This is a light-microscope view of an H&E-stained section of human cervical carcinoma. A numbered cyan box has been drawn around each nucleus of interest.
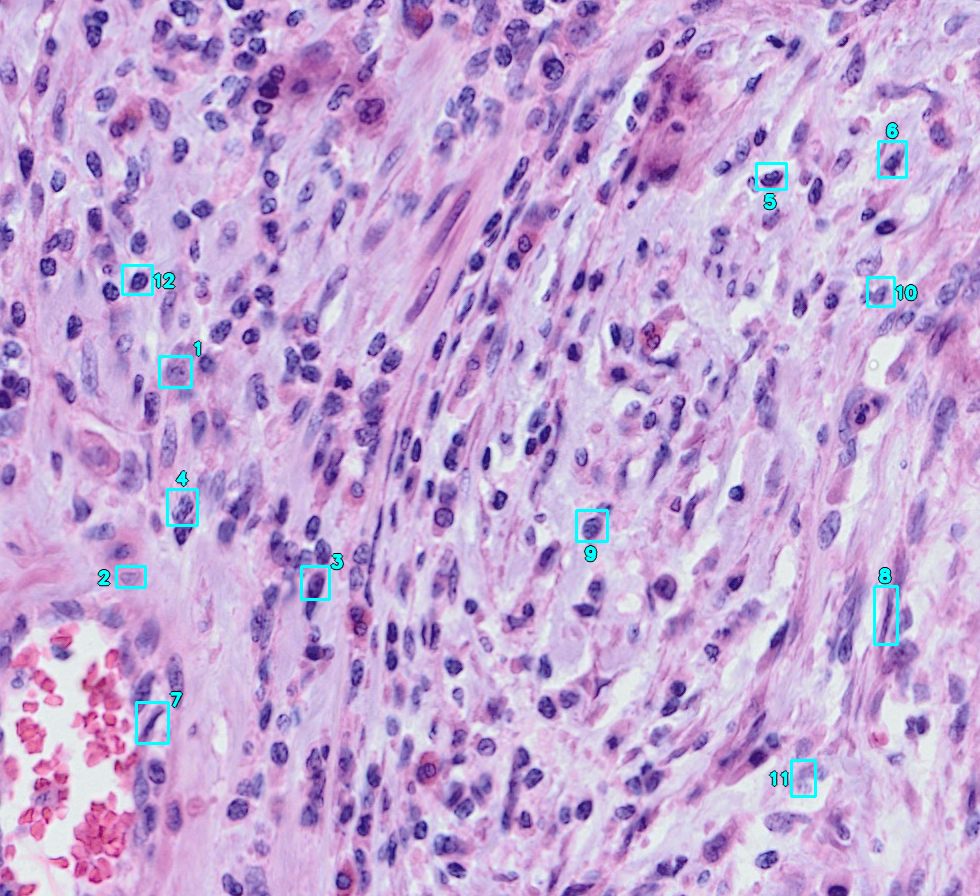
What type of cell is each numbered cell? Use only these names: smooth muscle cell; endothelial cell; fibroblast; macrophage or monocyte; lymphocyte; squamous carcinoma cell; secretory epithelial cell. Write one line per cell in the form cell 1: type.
cell 1: macrophage or monocyte
cell 2: smooth muscle cell
cell 3: lymphocyte
cell 4: lymphocyte
cell 5: lymphocyte
cell 6: lymphocyte
cell 7: endothelial cell
cell 8: fibroblast
cell 9: lymphocyte
cell 10: lymphocyte
cell 11: fibroblast
cell 12: lymphocyte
